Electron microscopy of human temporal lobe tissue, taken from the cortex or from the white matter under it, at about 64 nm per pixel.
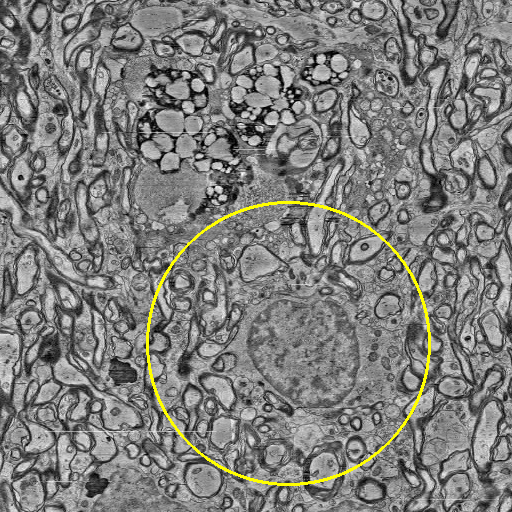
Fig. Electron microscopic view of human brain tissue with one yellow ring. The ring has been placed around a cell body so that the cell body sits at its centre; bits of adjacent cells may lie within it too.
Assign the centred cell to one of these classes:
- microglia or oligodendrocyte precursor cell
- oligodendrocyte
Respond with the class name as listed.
oligodendrocyte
